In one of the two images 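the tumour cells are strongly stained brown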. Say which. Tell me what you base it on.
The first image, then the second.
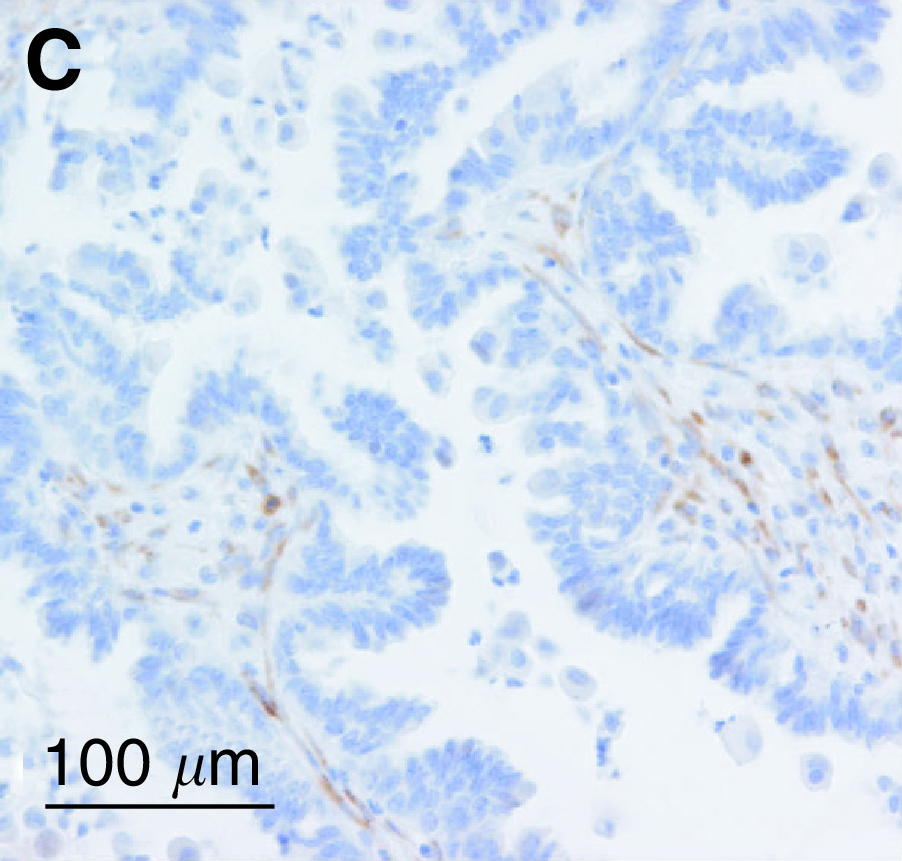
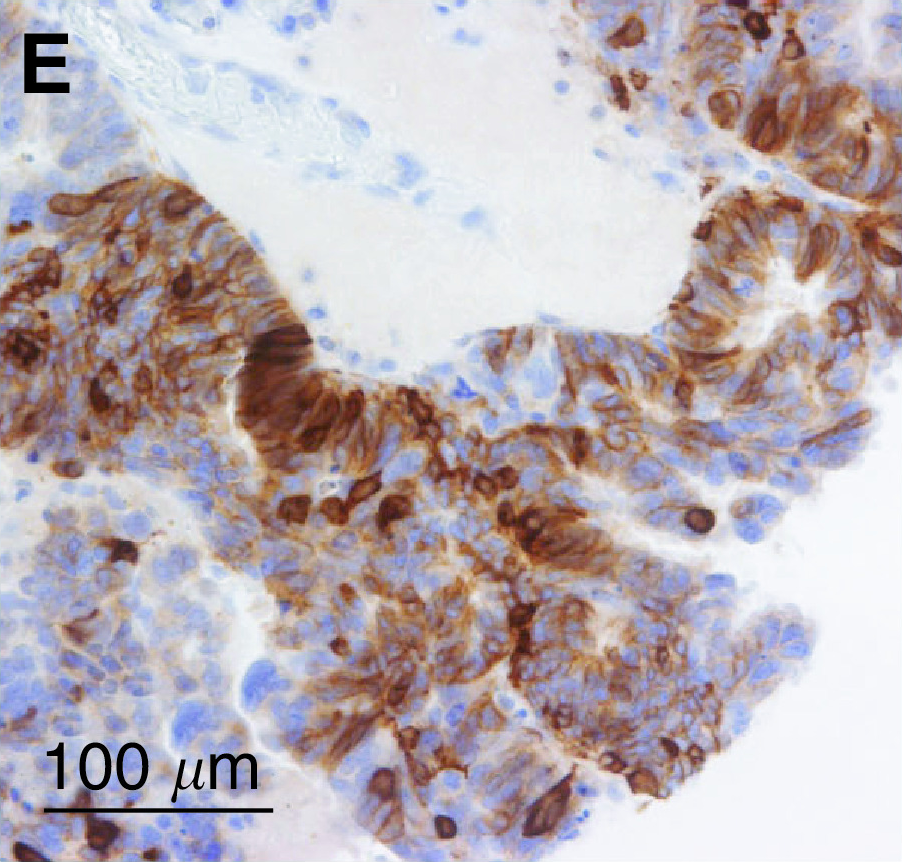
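The second image. Second image: many epithelial tumour cells have dark brown cytoplasm and membranes. First image: the tumour cells are blue only, with brown limited to a few stromal cells.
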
